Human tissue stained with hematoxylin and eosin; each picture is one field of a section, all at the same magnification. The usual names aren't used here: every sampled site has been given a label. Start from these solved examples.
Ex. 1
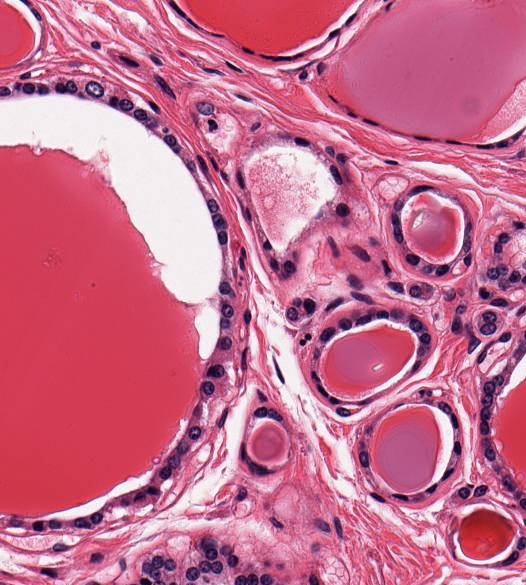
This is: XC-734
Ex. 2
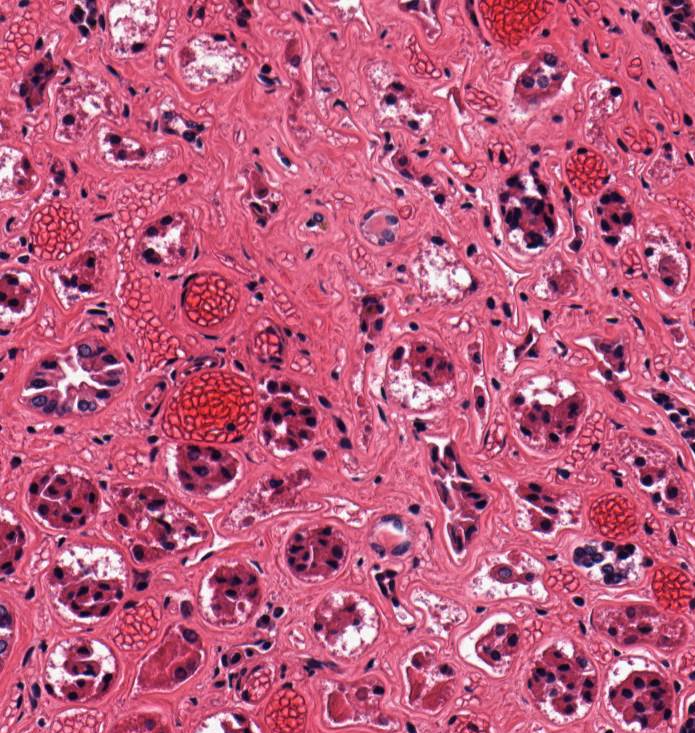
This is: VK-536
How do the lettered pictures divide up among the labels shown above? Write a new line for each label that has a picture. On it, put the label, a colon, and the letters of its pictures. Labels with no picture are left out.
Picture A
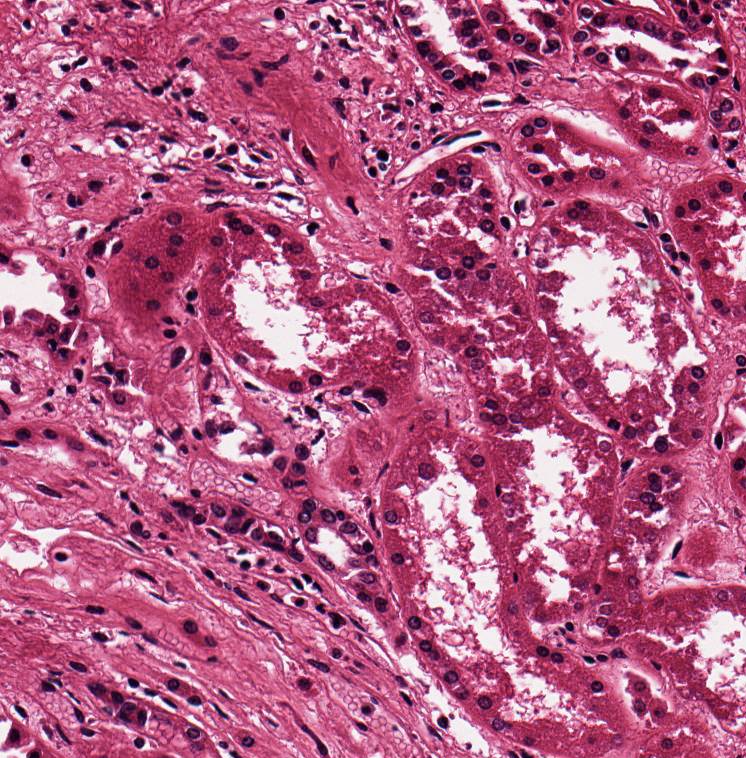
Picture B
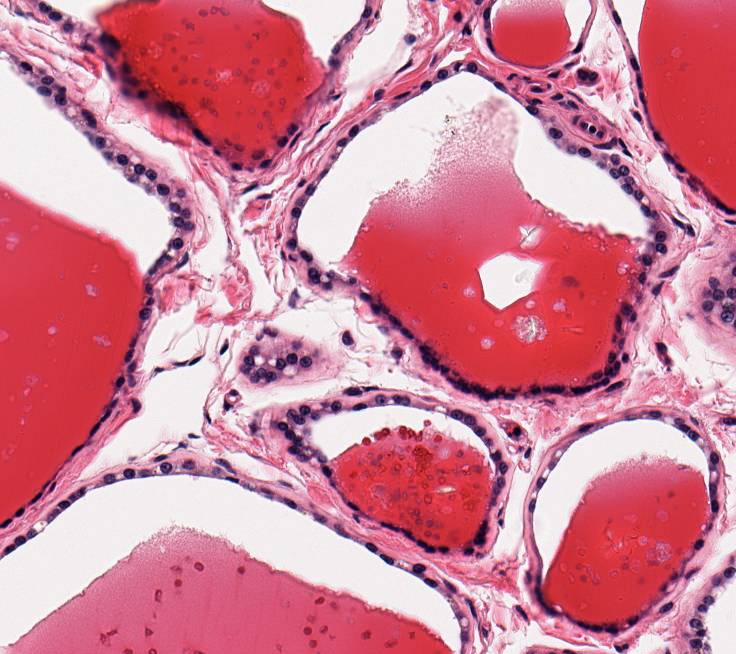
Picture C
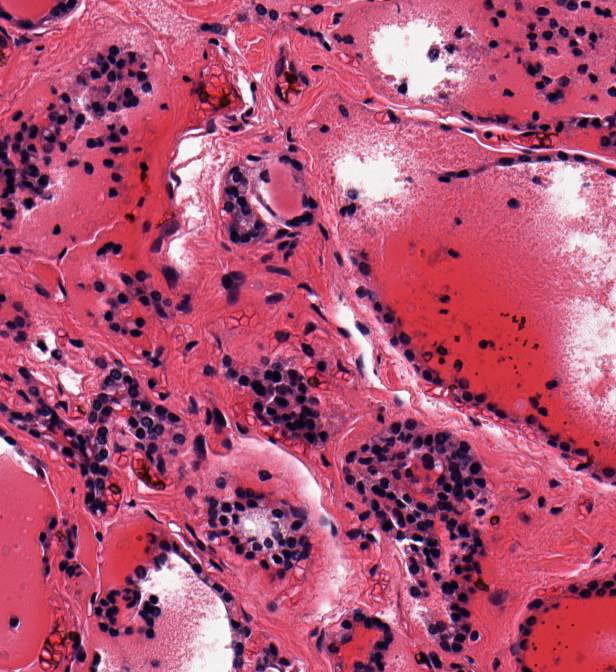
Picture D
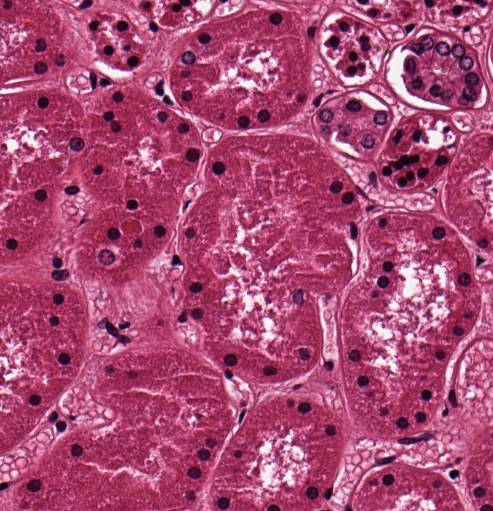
XC-734: B, C
VK-536: A, D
